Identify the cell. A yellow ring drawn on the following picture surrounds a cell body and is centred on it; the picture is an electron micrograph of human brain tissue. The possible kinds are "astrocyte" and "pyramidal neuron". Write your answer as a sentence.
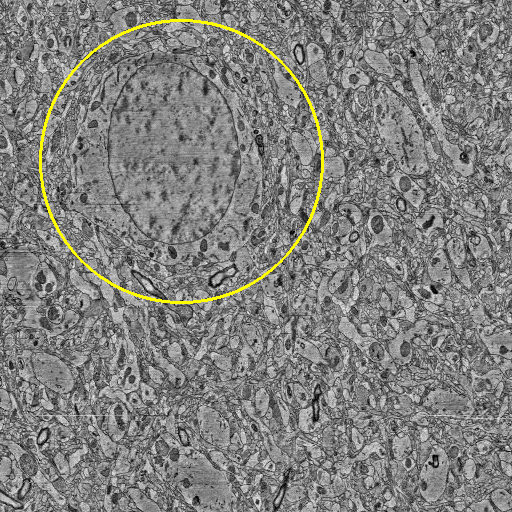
The cell identified by the ring is a pyramidal neuron.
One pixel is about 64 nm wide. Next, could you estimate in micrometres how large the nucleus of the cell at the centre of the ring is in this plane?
The nucleus of the ringed cell is approximately 12 by 8 micrometres in this plane.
